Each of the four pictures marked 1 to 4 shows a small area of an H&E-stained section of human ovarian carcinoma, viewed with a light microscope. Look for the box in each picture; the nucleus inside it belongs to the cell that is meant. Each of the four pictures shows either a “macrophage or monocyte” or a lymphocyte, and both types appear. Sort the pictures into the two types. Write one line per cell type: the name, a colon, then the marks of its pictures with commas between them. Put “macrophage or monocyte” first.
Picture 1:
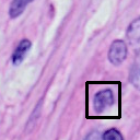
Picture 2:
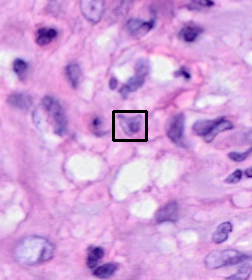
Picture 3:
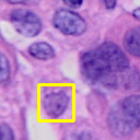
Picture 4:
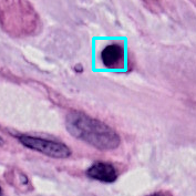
macrophage or monocyte: 2, 3
lymphocyte: 1, 4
